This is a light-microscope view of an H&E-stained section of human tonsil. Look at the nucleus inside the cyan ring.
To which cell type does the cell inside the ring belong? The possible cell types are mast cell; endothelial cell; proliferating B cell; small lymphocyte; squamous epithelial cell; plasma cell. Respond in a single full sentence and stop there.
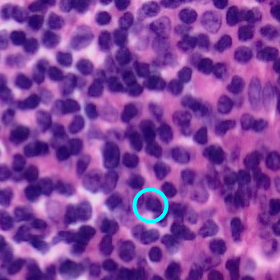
The correct response here is that the cell inside the ring is a small lymphocyte.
